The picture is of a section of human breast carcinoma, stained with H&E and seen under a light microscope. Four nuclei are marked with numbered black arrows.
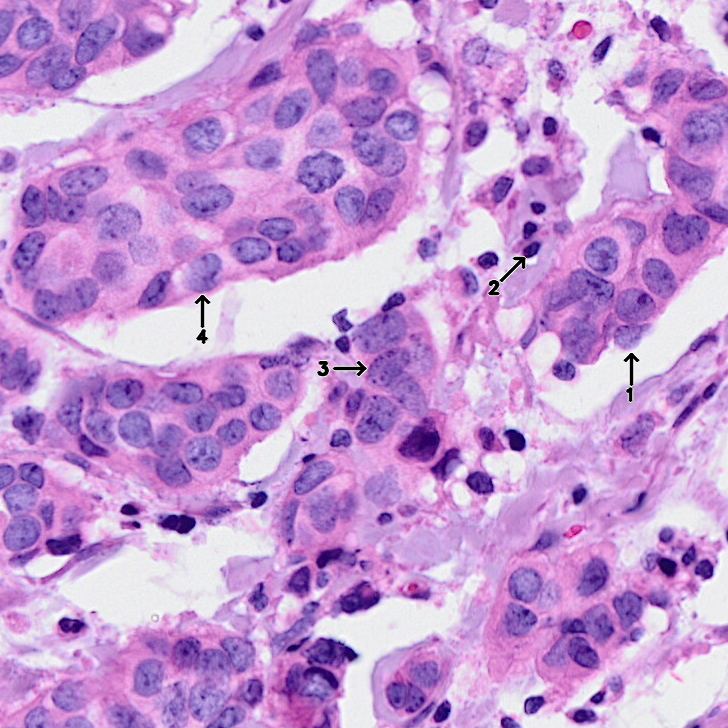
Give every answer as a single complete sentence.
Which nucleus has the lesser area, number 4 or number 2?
The smaller nucleus is 2, and 4 covers roughly 4 times its area.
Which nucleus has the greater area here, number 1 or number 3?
Nucleus 3 is the larger one, covering about 2 times the area of nucleus 1.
